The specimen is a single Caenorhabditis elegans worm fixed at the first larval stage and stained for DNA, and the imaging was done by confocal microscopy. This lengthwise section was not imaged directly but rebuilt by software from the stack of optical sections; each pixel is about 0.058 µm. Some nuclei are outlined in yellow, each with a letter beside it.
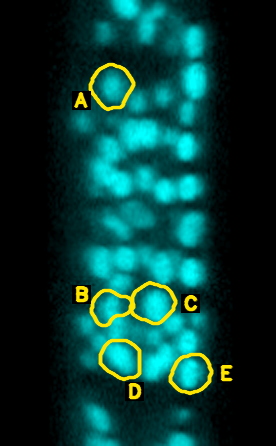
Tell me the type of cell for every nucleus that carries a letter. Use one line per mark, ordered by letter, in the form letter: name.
A: pharyngeal muscle cell
B: neuron
C: neuron
D: GLR cell
E: neuron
